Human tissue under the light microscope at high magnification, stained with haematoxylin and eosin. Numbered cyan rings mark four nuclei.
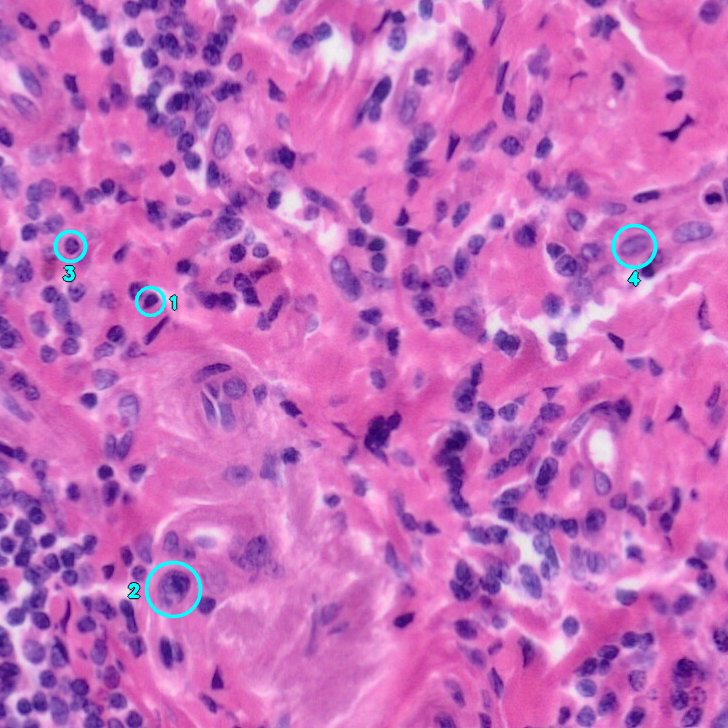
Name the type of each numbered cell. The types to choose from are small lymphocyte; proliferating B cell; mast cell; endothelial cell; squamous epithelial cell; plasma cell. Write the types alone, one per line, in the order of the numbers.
mast cell
endothelial cell
mast cell
endothelial cell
